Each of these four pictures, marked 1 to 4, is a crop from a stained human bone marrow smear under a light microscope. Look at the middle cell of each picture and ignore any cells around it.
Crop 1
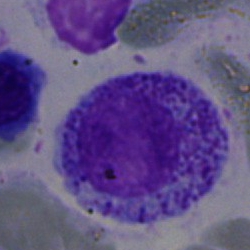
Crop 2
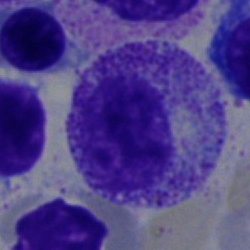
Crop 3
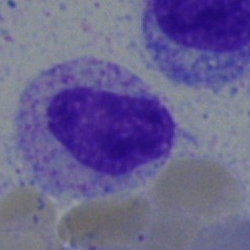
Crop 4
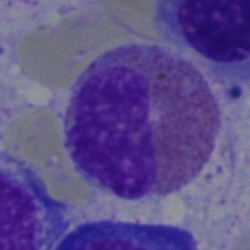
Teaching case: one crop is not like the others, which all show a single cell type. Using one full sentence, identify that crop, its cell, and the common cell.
Crop 4 differs from the others in showing an eosinophil; the rest all show myelocytes.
